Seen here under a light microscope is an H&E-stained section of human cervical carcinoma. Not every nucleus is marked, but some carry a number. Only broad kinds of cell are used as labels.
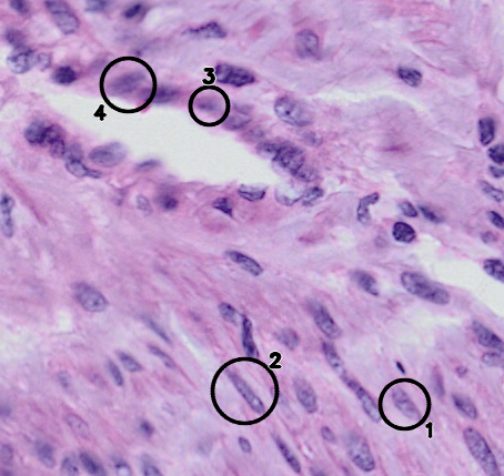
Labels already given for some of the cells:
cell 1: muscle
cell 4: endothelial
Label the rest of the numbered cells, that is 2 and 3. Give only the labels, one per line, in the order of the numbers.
muscle
endothelial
